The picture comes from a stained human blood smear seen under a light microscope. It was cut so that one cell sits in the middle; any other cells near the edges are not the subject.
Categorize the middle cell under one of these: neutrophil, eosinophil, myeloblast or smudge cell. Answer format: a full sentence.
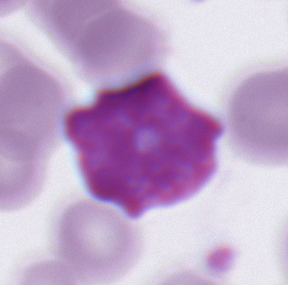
This crop's central cell is a smudge cell.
